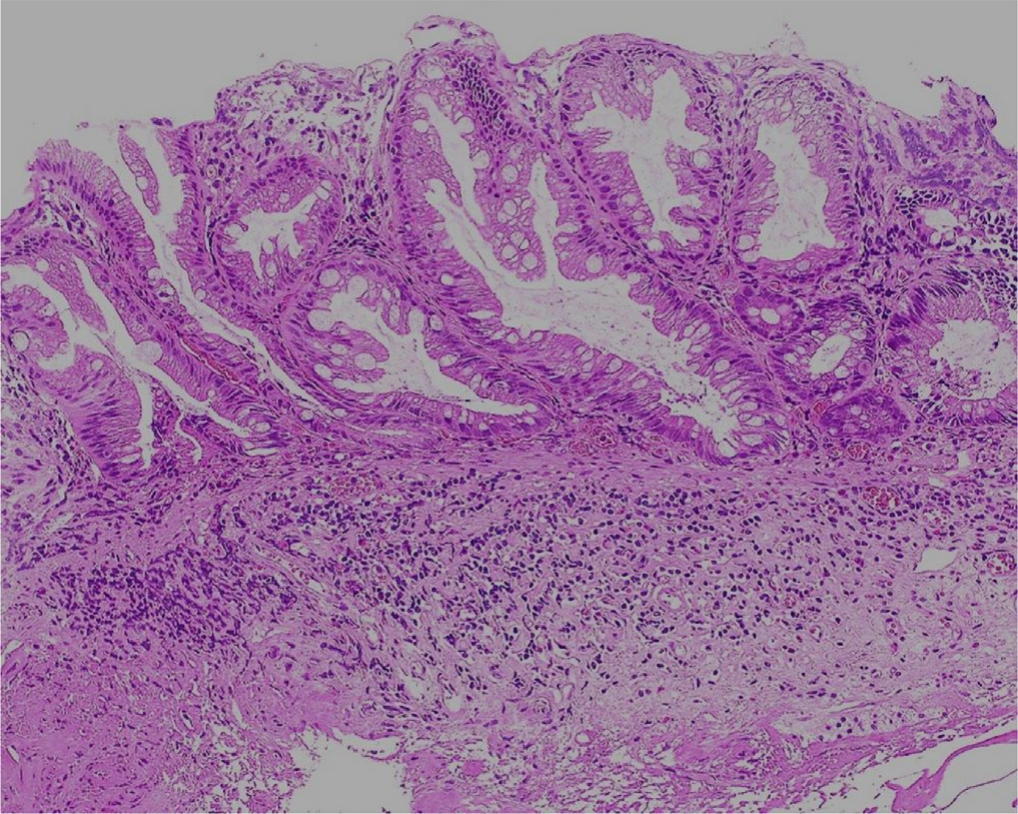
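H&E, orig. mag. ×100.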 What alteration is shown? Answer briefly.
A: Sessile serrated lesion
